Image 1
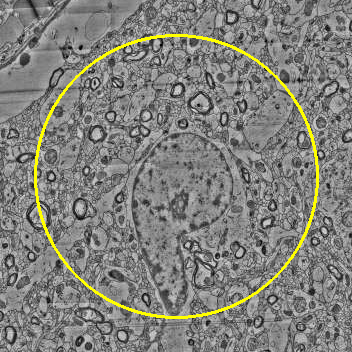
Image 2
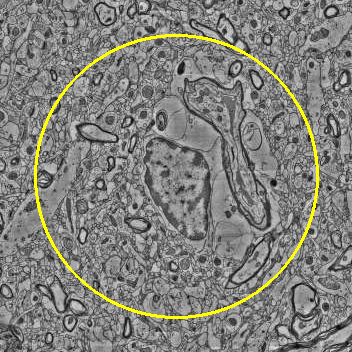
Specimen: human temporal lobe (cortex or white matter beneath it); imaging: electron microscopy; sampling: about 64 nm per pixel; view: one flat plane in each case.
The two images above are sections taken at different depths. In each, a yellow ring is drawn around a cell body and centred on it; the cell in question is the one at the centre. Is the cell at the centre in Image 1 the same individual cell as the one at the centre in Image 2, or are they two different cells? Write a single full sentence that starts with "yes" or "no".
No, two different cells appear inside the two yellow rings.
